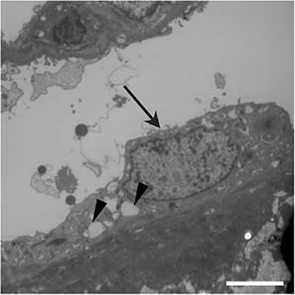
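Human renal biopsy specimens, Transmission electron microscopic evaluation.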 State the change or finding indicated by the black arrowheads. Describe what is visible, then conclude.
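Cytoplasmic vacuolization. Clear, round, membrane-bound spaces lie in the cytoplasm at the edge of the cell. The arrowheads point to these pale empty spaces beside the nucleus.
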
